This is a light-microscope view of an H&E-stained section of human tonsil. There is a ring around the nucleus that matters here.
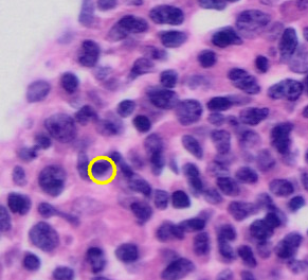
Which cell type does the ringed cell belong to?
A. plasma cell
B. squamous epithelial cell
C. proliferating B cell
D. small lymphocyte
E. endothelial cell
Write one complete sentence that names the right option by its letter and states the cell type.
Here the ringed cell is a proliferating B cell; pick option C.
